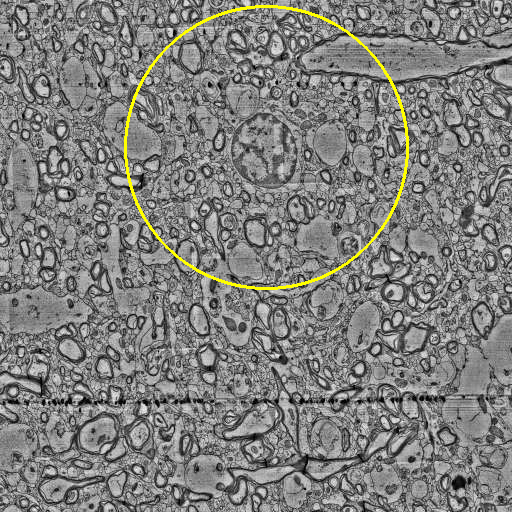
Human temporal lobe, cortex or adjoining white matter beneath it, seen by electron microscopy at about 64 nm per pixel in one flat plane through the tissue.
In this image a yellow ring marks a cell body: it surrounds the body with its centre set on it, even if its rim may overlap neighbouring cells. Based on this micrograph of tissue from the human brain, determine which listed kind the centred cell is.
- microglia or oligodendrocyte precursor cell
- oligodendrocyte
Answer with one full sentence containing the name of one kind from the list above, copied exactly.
It is a microglial cell or oligodendrocyte precursor cell whose body the yellow ring encloses at its centre.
